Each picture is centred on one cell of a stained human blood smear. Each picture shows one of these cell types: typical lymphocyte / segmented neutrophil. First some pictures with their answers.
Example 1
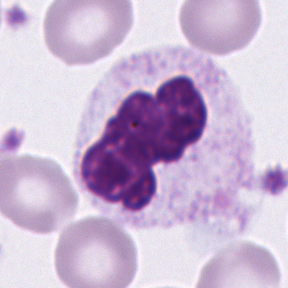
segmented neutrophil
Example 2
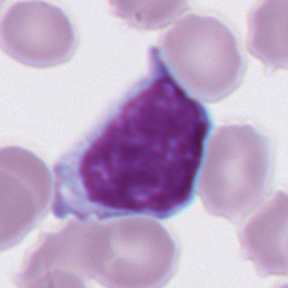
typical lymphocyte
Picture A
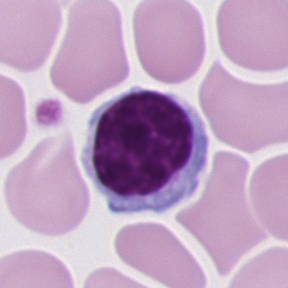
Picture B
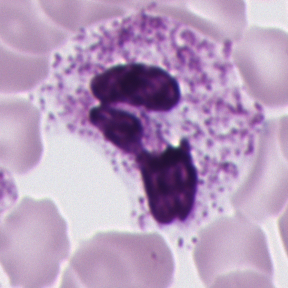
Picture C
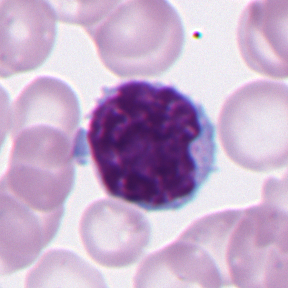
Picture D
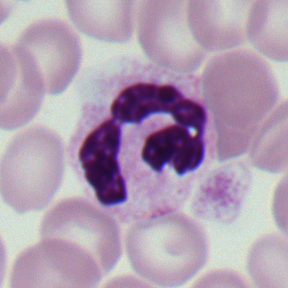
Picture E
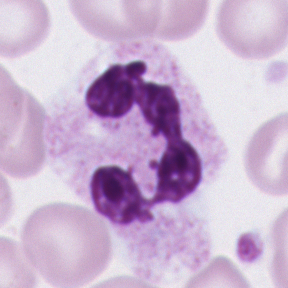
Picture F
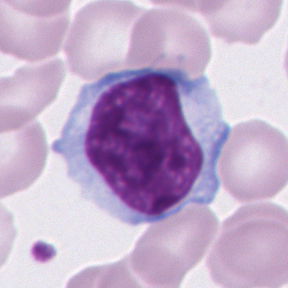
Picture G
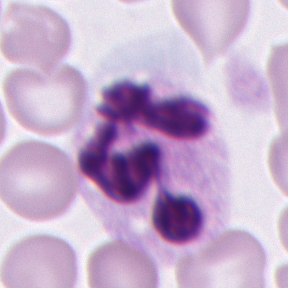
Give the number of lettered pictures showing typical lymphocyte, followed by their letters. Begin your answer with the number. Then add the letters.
3: A, C, F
